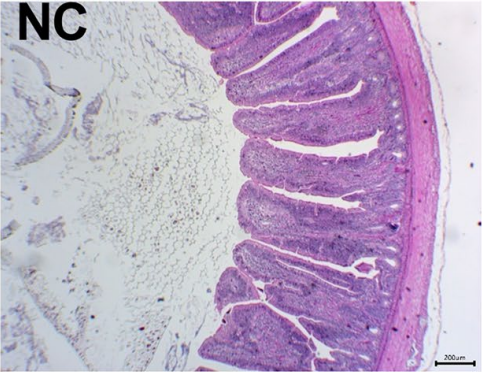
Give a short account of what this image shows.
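This is a cross section through the wall of the small intestine, with the mucosa folded into long, slender villi that project into the lumen. The villi are tall, evenly spaced and separated by narrow clear clefts, each covered by a purple-staining epithelium over a paler core. At their bases lie small crypts close to the outer wall. The outer wall is a band of pink-staining smooth muscle. The lumen beside the villi holds pale, loose material.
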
